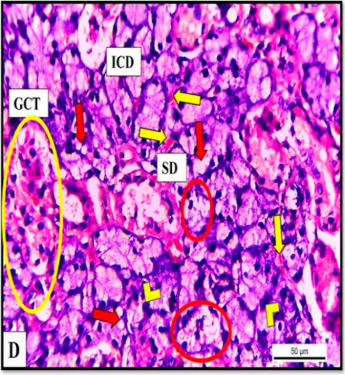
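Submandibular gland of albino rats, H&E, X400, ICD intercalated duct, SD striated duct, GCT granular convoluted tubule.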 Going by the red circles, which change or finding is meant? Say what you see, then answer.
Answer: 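Completely degenerated acini with shedding of the nuclei into the lumina. The circled units have lost their regular cell outlines. Dark nuclei lie scattered in the centre of the circled units.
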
